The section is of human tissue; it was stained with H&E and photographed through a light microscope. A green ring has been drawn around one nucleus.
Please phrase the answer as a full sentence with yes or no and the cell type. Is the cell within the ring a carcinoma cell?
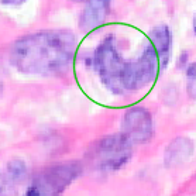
Yes, the naming of the cell within the ring as a carcinoma cell is correct.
